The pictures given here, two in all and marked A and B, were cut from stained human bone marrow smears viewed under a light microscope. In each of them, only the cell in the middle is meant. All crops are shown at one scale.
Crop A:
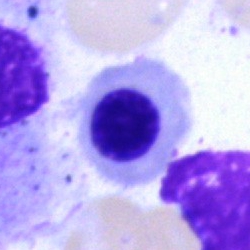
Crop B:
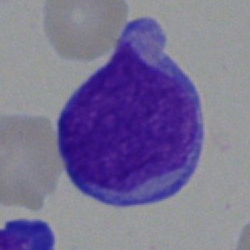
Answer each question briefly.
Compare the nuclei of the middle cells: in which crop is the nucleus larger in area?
B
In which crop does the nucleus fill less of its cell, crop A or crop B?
A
